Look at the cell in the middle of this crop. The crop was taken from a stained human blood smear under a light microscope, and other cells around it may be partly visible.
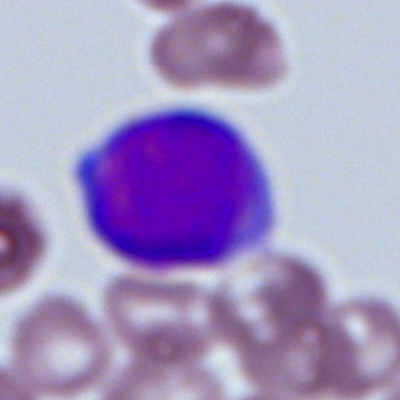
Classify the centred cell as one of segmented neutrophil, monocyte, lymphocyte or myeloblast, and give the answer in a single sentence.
The cell that lies at the centre of the crop is a myeloblast.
